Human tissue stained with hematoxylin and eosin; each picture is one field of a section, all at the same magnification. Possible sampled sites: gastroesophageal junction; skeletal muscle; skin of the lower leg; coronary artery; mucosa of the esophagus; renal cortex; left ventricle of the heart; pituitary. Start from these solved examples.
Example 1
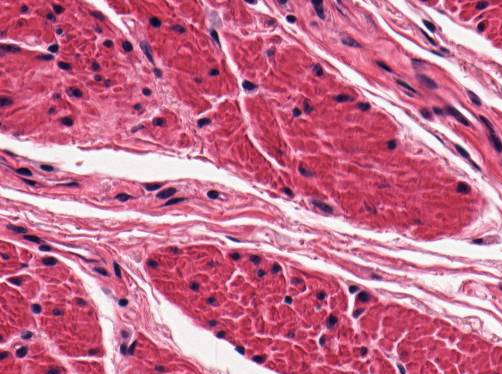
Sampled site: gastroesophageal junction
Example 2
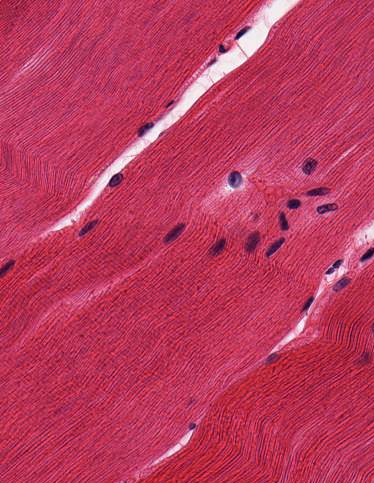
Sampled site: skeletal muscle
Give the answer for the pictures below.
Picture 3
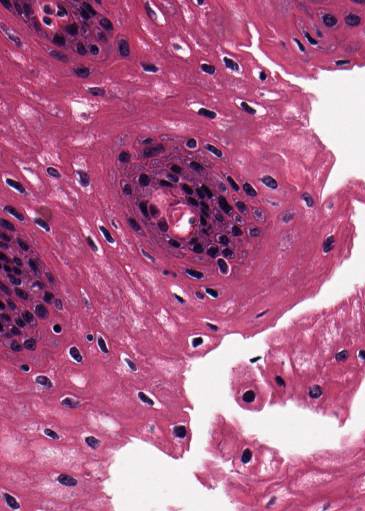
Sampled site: mucosa of the esophagus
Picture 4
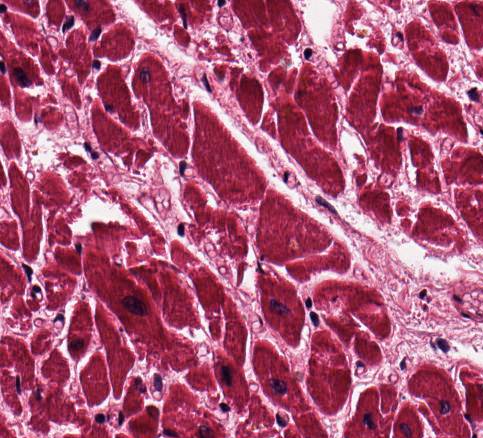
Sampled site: left ventricle of the heart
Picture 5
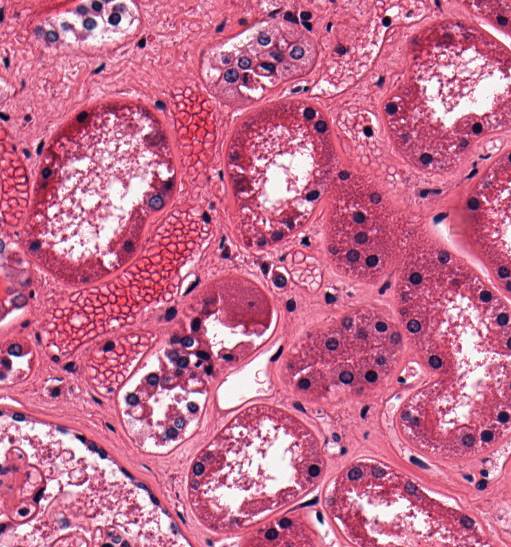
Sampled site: renal cortex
